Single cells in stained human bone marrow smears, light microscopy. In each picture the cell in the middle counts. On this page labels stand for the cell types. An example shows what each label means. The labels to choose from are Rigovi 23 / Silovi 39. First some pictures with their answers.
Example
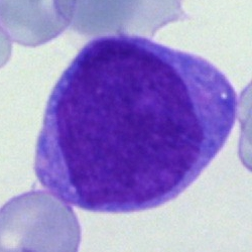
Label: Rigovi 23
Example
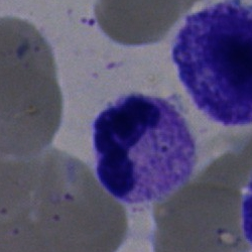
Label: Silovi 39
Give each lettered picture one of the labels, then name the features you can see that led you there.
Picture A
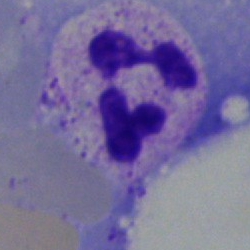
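Silovi 39. Reason: The cytoplasm is ample and pale pinkish-lilac.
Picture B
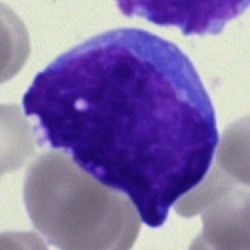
Rigovi 23. Reason: The nucleus fills most of the cell and lies toward the lower left.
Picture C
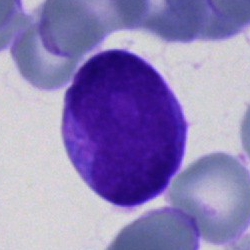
Rigovi 23. Reason: The chromatin looks fine and evenly spread rather than clumped.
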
